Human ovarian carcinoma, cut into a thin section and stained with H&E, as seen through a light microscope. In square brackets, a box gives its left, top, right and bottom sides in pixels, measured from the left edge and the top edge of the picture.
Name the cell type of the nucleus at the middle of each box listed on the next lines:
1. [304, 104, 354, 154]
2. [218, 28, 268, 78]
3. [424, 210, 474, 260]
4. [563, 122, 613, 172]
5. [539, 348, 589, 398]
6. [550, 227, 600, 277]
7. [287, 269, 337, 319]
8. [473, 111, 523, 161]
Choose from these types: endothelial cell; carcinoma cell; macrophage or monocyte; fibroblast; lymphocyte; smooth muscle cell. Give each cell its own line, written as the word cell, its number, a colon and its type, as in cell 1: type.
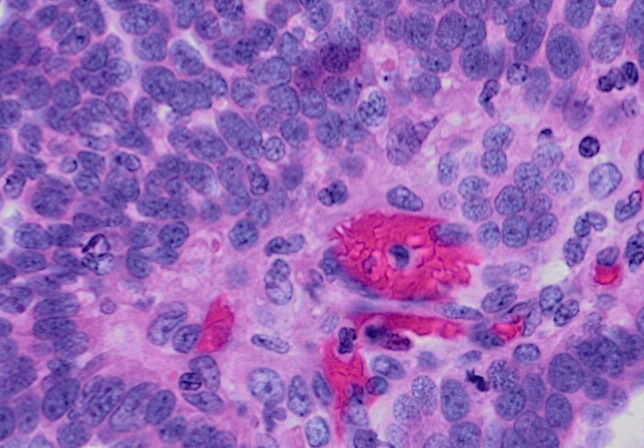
cell 1: carcinoma cell
cell 2: carcinoma cell
cell 3: endothelial cell
cell 4: lymphocyte
cell 5: carcinoma cell
cell 6: macrophage or monocyte
cell 7: fibroblast
cell 8: carcinoma cell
